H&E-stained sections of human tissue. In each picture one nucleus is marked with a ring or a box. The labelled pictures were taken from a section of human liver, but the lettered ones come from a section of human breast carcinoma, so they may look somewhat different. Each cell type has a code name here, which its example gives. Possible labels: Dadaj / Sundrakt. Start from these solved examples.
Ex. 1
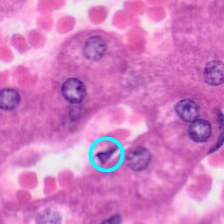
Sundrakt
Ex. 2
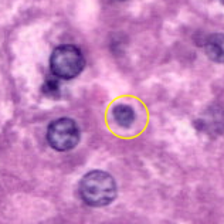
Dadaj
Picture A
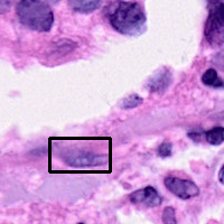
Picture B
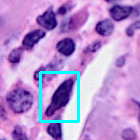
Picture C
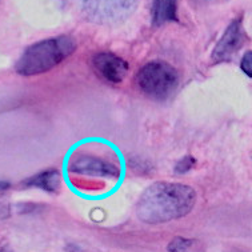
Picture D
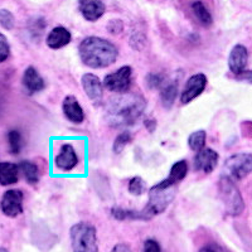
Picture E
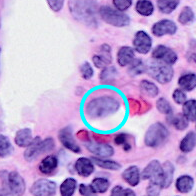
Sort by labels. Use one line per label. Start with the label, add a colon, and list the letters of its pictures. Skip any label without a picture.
Dadaj: B, D
Sundrakt: A, C, E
